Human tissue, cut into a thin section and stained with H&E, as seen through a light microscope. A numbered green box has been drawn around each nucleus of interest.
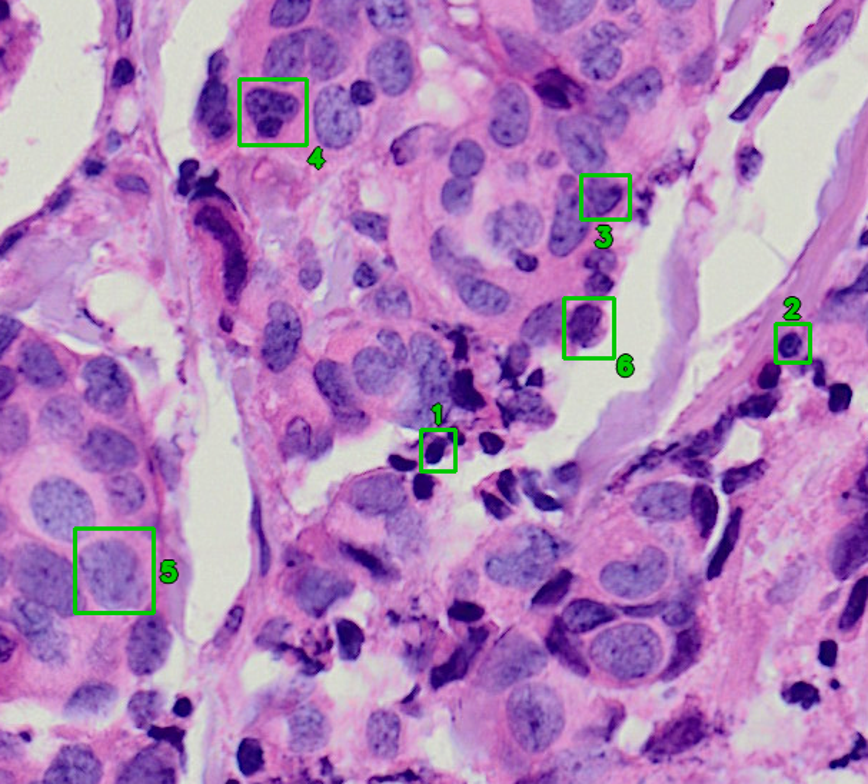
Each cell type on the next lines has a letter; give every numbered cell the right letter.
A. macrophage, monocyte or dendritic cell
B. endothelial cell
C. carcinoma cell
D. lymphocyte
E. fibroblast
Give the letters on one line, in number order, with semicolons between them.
D; D; C; C; C; C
